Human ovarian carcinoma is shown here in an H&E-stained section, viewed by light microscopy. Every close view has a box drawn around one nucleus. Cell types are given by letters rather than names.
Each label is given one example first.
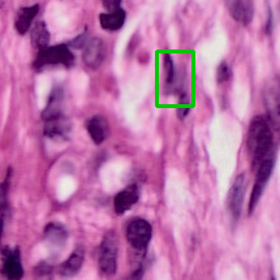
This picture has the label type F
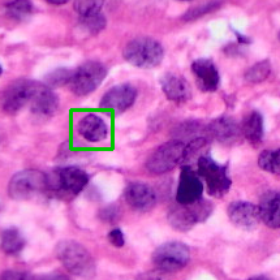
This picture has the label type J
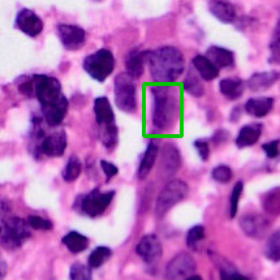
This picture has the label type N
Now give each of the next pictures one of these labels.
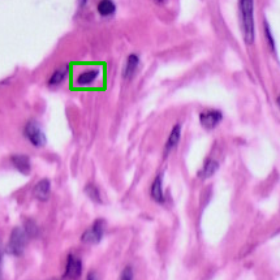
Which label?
type F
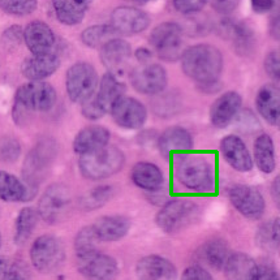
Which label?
type N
